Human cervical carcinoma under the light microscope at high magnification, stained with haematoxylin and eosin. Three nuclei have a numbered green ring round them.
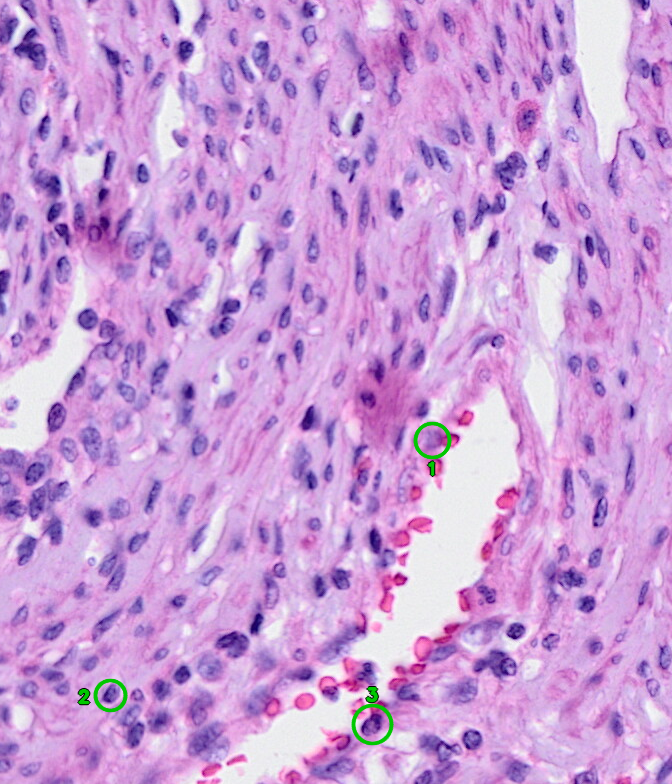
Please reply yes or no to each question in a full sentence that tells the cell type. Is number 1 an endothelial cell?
Yes, in this section the cell with number 1 is an endothelial cell.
